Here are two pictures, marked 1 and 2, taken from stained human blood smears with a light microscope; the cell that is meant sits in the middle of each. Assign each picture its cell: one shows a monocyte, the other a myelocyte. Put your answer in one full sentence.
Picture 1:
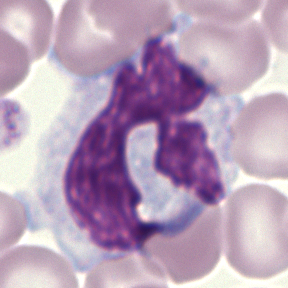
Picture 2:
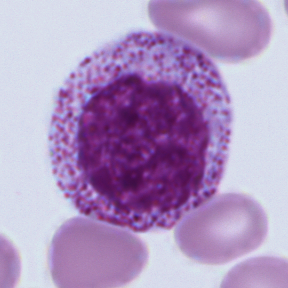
It is picture 1 that shows a monocyte, and picture 2 that shows a myelocyte.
